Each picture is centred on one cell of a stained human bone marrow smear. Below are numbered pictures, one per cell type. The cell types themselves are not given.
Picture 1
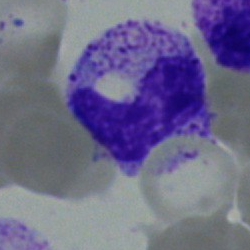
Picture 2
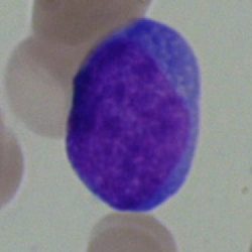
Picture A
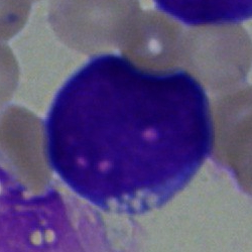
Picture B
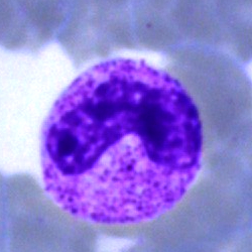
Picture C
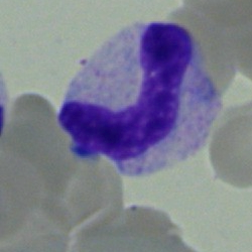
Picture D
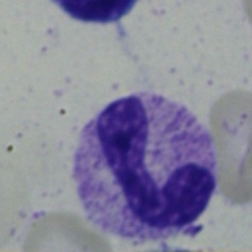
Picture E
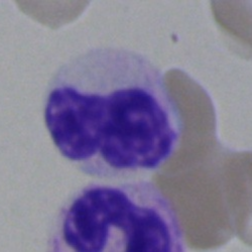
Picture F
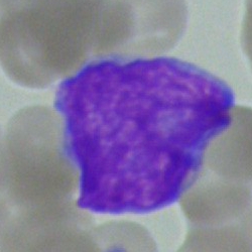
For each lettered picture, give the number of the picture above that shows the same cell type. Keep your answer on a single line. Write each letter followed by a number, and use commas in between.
A 2, B 1, C 1, D 1, E 1, F 2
